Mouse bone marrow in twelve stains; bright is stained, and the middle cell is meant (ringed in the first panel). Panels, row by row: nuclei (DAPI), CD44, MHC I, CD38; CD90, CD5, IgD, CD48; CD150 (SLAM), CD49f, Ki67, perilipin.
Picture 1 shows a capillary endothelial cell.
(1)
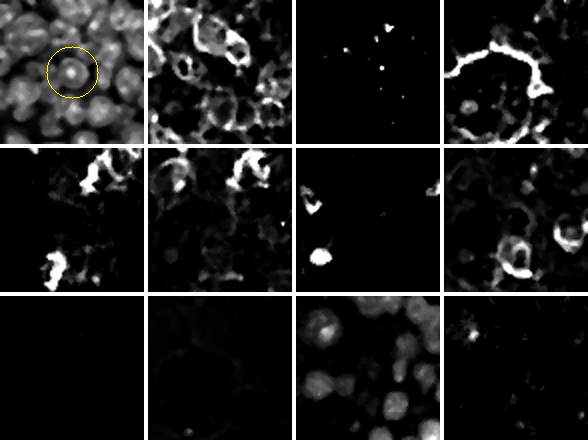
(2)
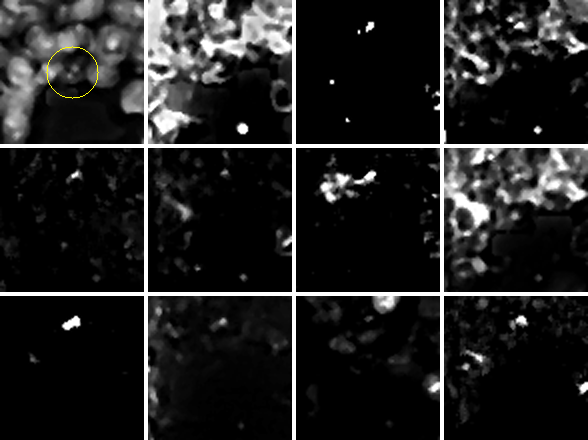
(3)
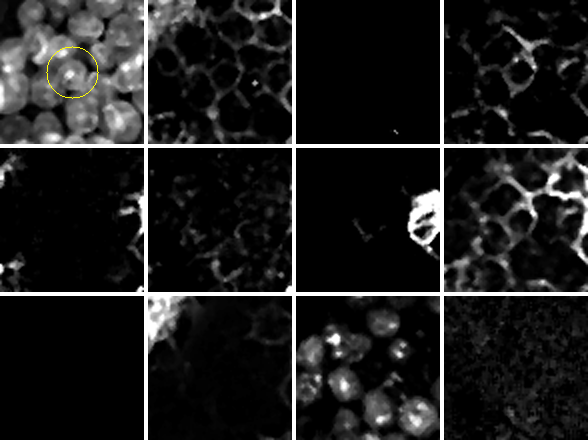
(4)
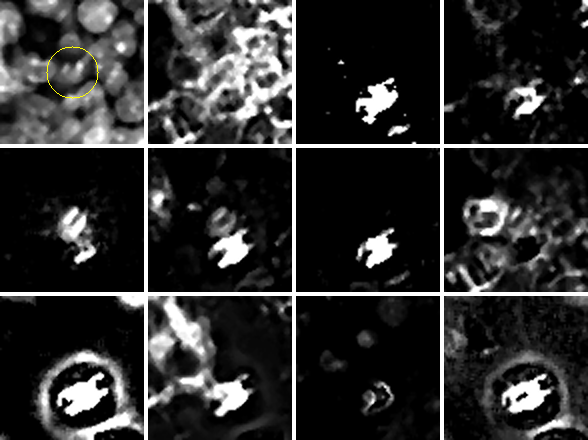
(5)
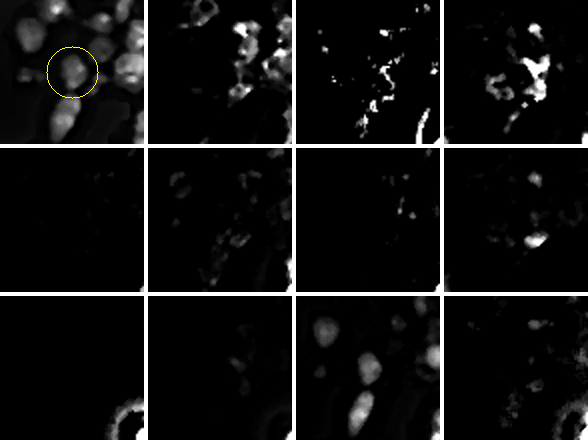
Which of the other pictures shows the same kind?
Picture 5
